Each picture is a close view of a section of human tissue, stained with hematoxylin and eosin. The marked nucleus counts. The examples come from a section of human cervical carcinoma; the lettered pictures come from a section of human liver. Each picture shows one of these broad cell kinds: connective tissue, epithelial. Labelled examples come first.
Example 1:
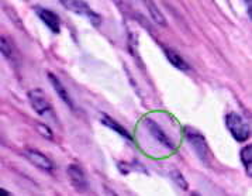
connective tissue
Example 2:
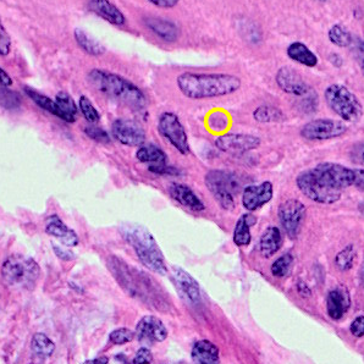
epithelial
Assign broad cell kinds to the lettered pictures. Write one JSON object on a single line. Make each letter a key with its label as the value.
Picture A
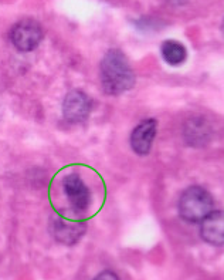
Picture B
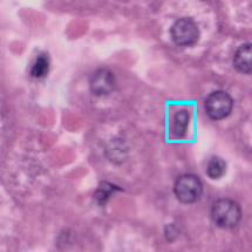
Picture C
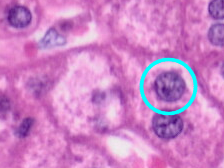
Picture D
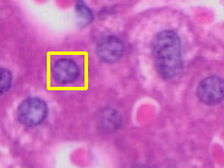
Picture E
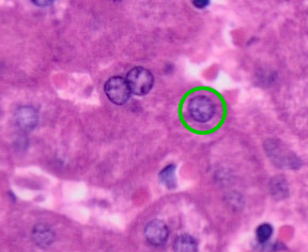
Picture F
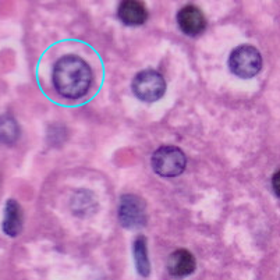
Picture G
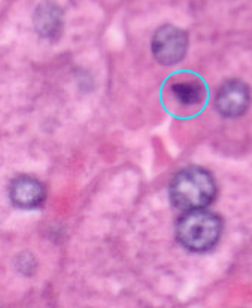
{"A": "connective tissue", "B": "connective tissue", "C": "epithelial", "D": "epithelial", "E": "epithelial", "F": "epithelial", "G": "connective tissue"}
